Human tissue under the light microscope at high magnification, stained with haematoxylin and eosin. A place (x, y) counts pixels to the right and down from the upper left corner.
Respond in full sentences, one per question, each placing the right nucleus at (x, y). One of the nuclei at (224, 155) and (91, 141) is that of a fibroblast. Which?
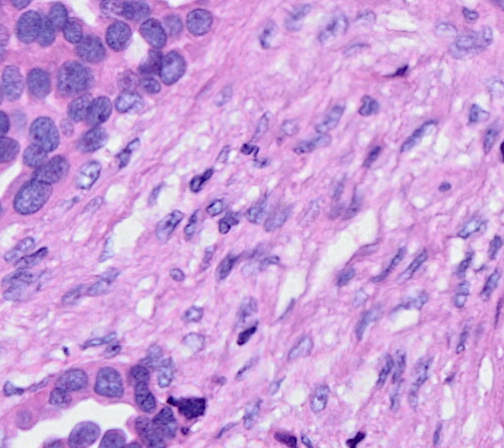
As for which of the two, the nucleus at (224, 155) belongs to a fibroblast.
